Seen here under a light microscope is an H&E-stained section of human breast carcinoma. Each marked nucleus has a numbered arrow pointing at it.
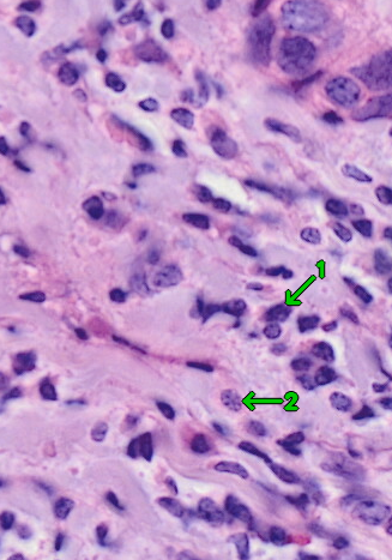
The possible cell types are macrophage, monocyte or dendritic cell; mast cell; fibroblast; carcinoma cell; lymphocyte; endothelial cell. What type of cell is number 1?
lymphocyte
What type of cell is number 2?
mast cell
